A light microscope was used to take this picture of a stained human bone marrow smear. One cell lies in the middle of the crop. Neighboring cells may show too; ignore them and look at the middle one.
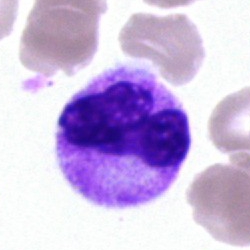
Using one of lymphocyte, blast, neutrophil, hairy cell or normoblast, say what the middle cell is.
neutrophil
